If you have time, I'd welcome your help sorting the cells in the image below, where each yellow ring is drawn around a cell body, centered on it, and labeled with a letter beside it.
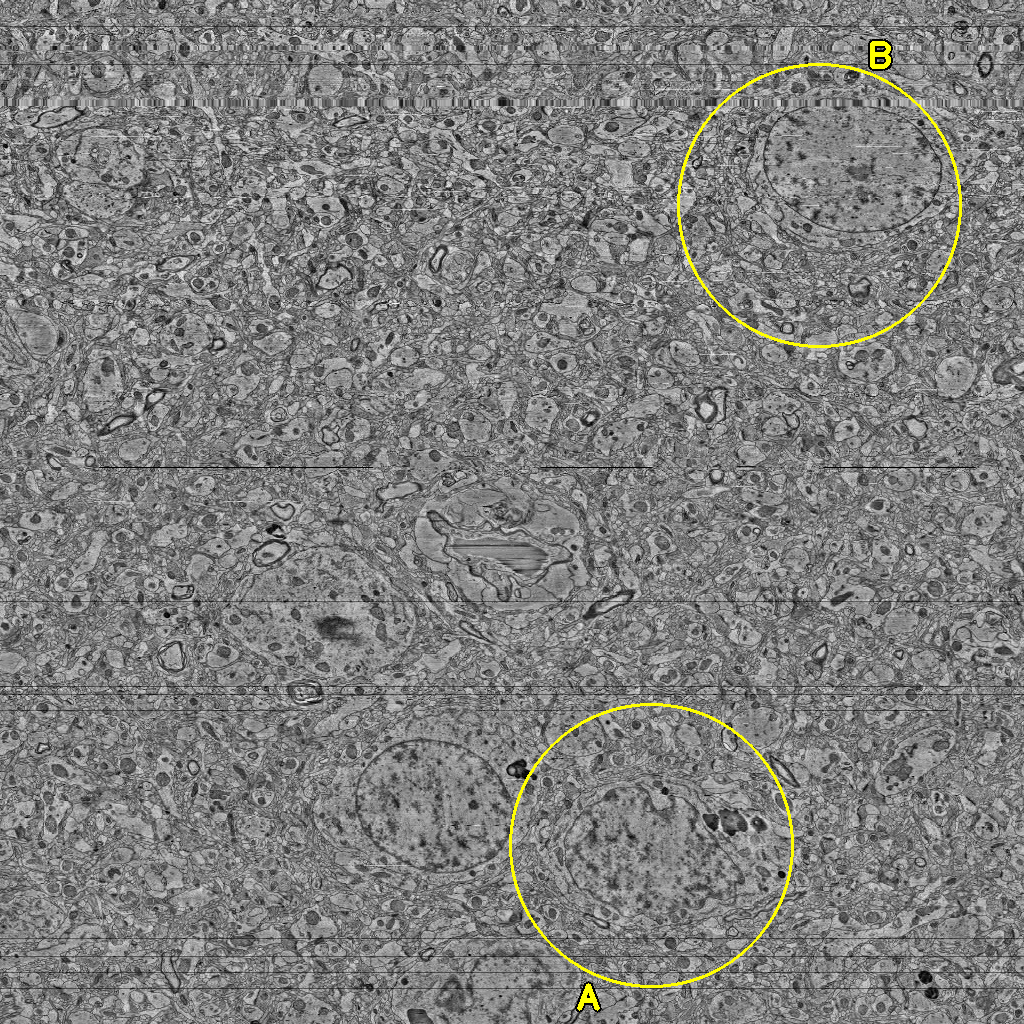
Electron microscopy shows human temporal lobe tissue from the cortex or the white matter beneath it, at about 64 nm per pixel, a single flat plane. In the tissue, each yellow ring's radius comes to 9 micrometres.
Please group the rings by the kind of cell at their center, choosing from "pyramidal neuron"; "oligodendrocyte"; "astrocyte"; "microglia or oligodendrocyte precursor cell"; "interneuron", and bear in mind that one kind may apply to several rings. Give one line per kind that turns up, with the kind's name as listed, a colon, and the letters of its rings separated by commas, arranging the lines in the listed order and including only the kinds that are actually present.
pyramidal neuron: B
interneuron: A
